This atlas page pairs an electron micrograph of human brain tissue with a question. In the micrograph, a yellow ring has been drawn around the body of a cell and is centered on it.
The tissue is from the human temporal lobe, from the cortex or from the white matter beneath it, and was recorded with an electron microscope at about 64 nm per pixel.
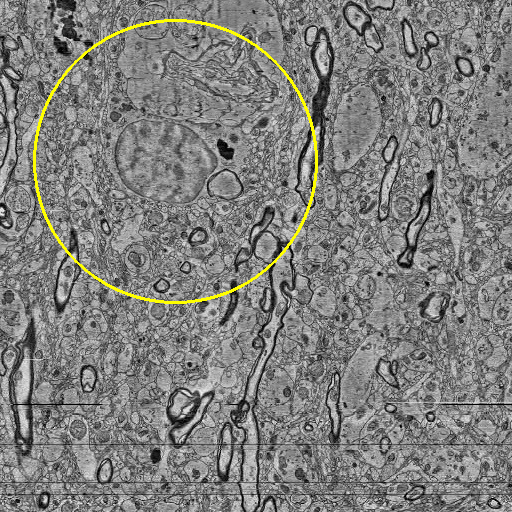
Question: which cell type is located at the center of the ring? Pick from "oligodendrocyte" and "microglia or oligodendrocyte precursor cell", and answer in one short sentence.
Located at the center of the ring is an oligodendrocyte.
